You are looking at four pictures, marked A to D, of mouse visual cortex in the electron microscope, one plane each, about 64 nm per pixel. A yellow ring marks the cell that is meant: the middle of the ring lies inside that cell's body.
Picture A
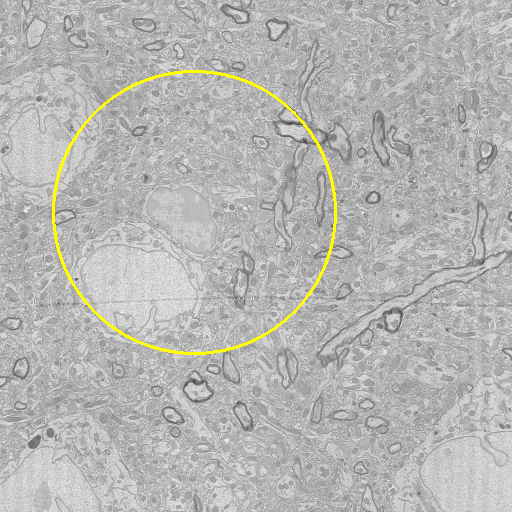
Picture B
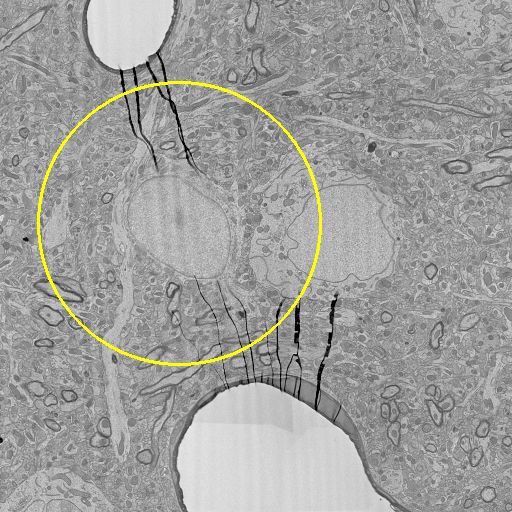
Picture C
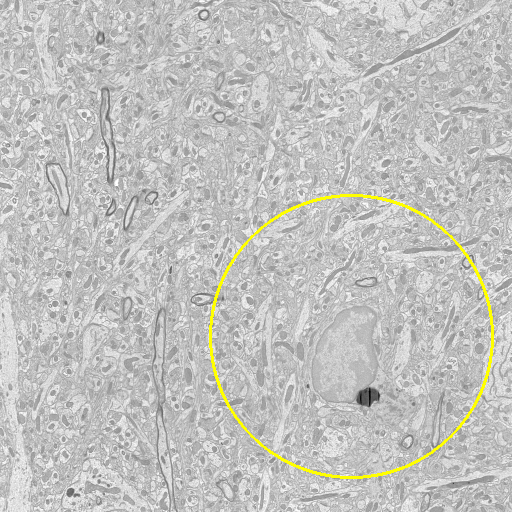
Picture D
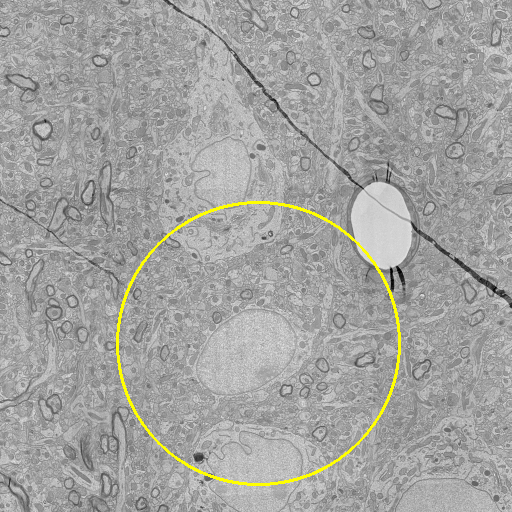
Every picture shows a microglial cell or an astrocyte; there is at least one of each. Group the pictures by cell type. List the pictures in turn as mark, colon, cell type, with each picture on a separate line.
A: microglial cell
B: astrocyte
C: microglial cell
D: astrocyte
